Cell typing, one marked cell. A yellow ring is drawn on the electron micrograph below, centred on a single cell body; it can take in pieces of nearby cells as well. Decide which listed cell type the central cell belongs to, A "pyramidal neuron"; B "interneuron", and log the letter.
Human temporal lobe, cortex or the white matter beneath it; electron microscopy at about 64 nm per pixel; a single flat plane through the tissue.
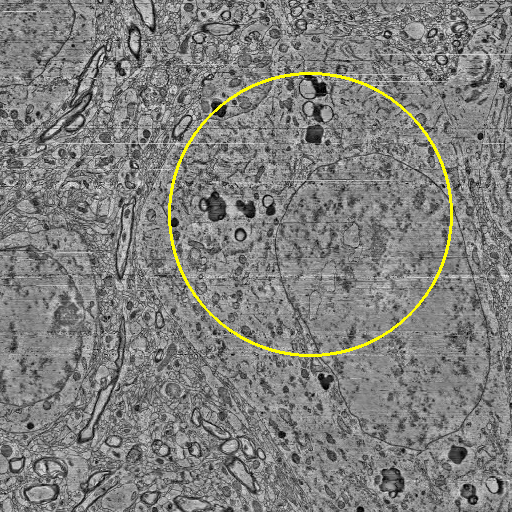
A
